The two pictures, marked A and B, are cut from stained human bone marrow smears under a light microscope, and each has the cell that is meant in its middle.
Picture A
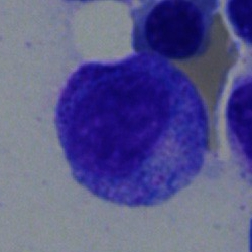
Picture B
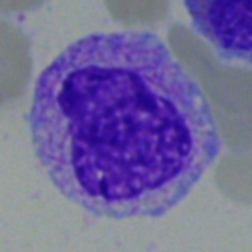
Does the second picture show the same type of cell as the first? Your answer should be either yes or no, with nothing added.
yes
